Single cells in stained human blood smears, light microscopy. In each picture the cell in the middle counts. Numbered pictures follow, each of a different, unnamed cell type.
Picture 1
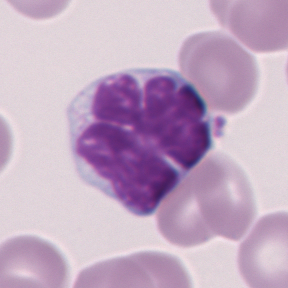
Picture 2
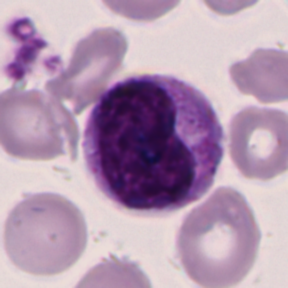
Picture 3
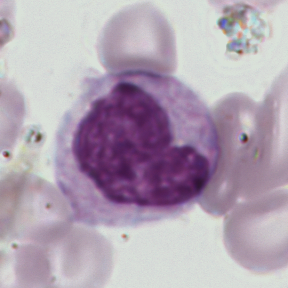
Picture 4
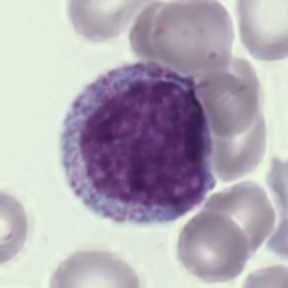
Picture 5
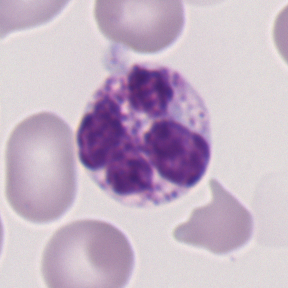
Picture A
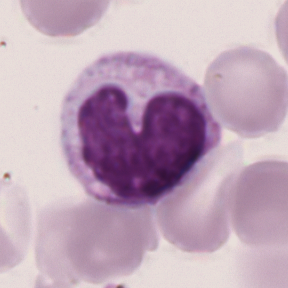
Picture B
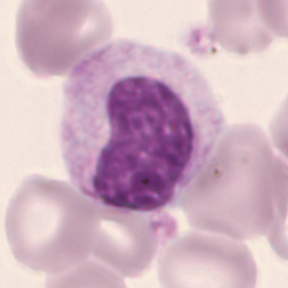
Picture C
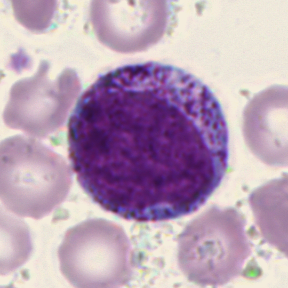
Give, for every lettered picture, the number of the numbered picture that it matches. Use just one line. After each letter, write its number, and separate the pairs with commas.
A 3, B 2, C 4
